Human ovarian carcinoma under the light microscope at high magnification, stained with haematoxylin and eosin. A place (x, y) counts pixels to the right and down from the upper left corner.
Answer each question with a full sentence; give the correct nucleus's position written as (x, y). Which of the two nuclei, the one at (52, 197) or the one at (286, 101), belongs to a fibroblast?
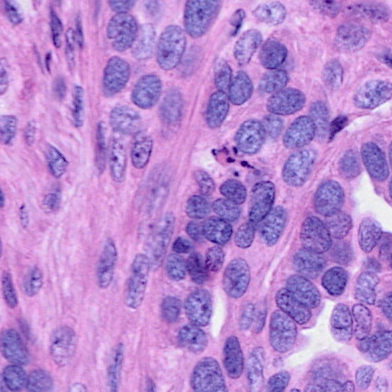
It is the nucleus at (52, 197), not the other one, that belongs to a fibroblast.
